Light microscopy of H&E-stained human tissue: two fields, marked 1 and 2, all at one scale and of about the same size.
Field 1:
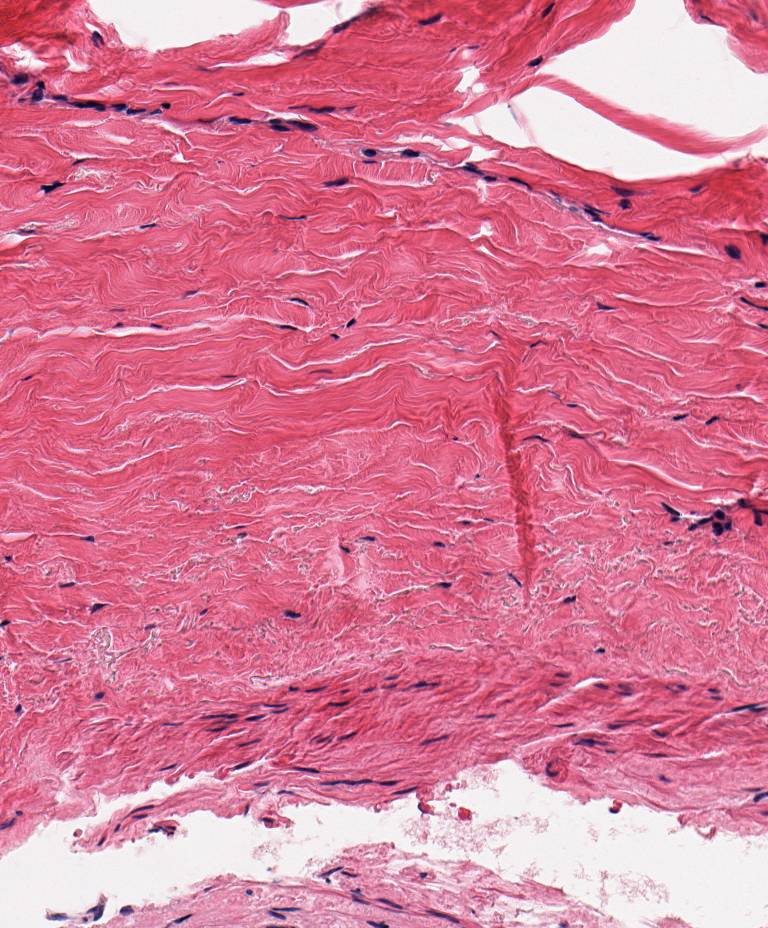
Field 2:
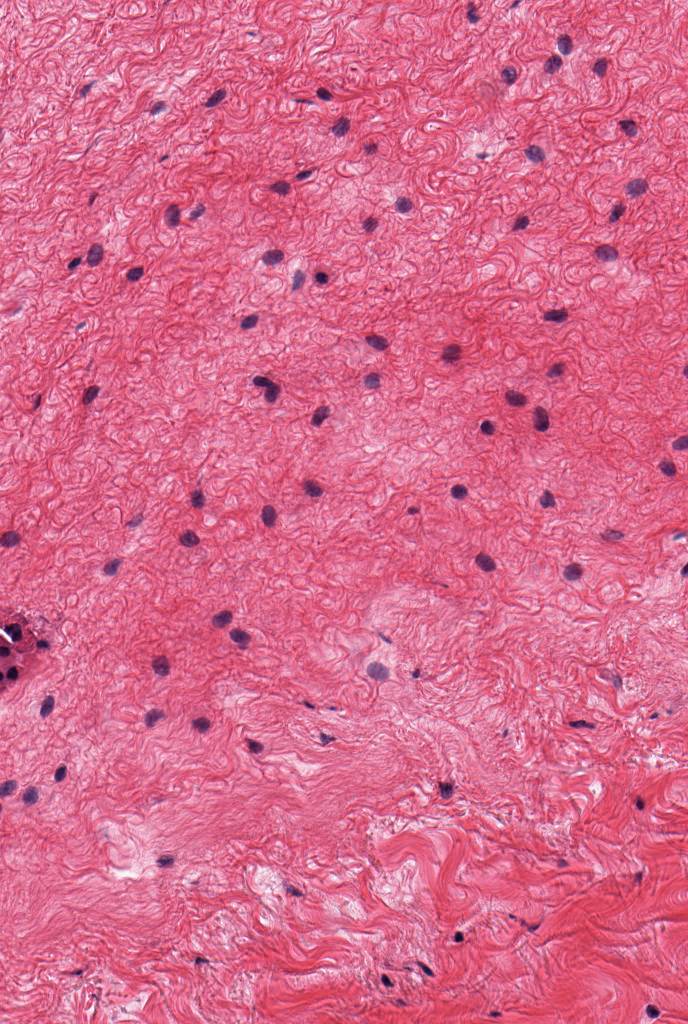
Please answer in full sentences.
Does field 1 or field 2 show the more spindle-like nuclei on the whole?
Longer, more slender nuclei lie in field 1.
